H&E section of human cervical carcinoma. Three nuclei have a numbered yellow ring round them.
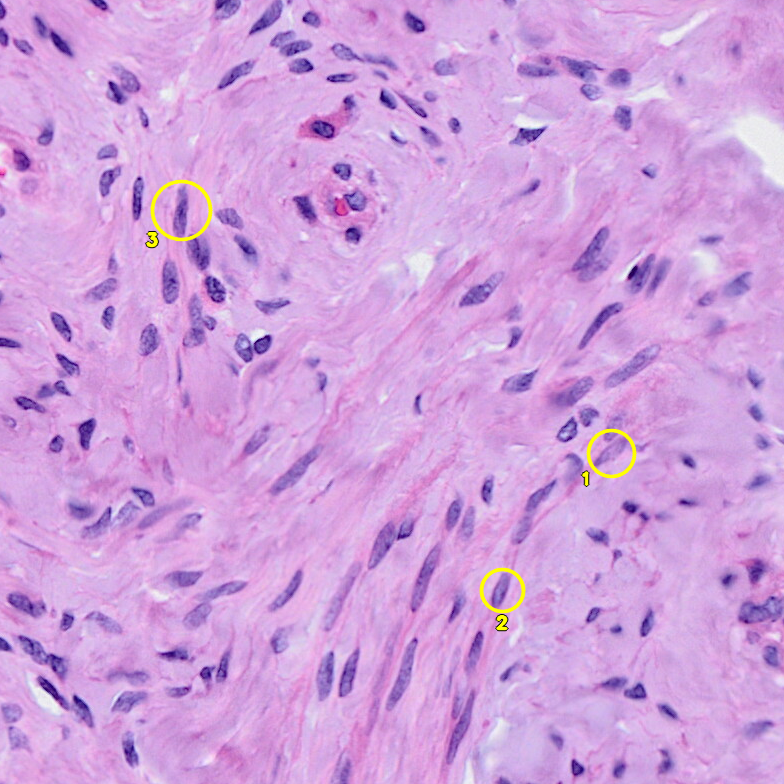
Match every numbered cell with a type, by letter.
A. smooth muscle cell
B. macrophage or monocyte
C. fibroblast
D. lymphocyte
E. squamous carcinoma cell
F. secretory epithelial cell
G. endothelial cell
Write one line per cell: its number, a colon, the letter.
1: A
2: A
3: C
